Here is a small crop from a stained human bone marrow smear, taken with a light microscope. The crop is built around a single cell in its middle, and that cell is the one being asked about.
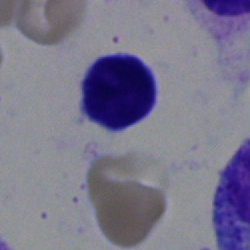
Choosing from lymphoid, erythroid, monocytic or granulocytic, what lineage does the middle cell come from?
lymphoid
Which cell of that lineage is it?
lymphocyte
